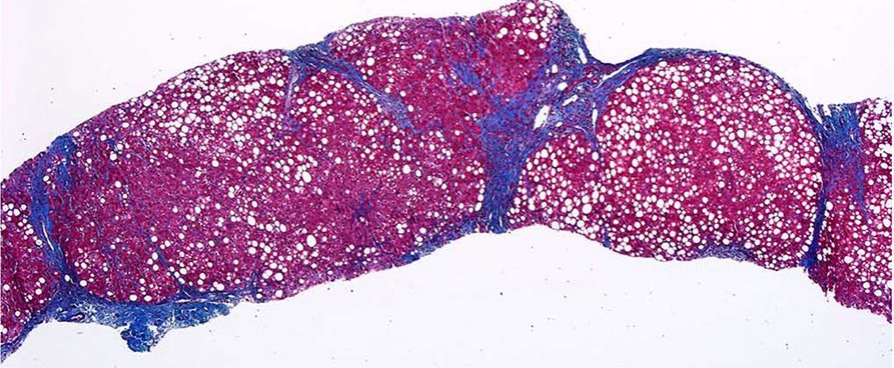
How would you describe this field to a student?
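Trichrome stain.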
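This is a core of liver tissue in which blue-staining fibrous septa divide the red parenchyma into rounded nodules, the pattern of cirrhosis. Within the nodules the hepatocytes contain many clear round vacuoles of fat of varying size. The normal lobular arrangement around central veins and portal tracts can no longer be made out.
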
